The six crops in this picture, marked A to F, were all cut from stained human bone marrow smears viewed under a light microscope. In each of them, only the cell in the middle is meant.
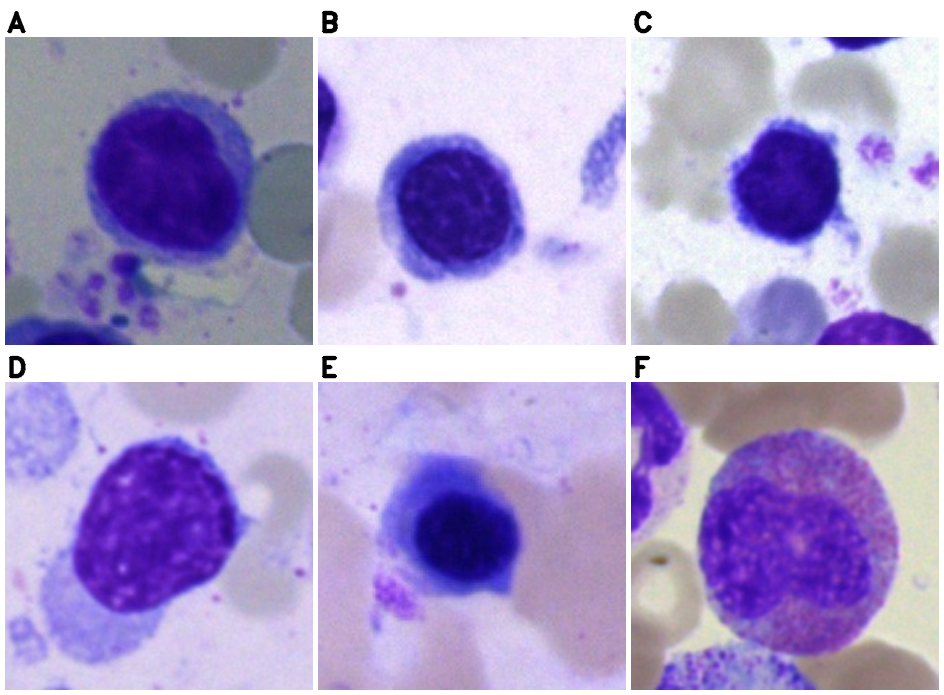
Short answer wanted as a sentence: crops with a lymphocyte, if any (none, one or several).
The central cells of crops A, B, C and D are identified as lymphocytes.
